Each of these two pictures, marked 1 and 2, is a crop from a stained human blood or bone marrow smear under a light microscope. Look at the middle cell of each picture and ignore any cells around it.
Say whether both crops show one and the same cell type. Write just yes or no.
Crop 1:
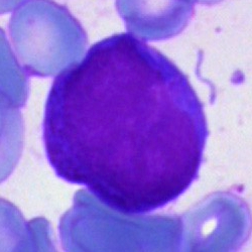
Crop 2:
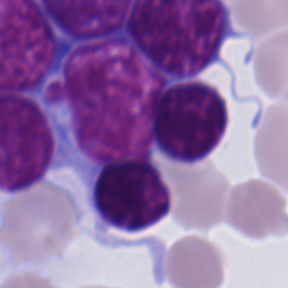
yes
